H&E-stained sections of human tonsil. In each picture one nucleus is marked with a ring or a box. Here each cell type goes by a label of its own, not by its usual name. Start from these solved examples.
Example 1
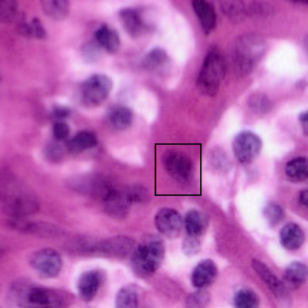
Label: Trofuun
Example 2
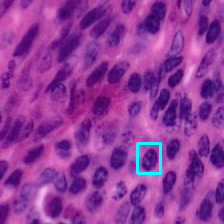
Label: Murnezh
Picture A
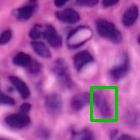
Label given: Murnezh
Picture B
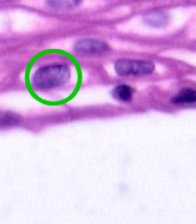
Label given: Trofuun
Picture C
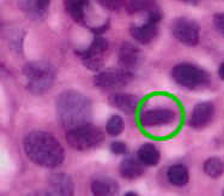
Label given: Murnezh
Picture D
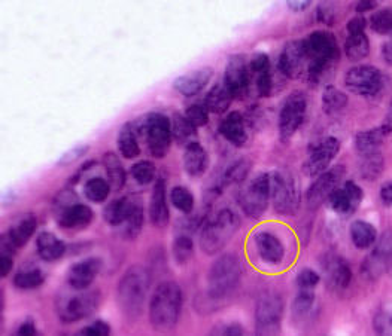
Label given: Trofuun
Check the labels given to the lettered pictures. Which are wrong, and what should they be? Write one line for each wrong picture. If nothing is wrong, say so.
A should be Trofuun, not Murnezh
C should be Trofuun, not Murnezh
